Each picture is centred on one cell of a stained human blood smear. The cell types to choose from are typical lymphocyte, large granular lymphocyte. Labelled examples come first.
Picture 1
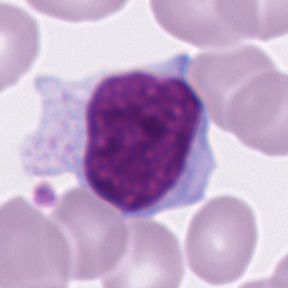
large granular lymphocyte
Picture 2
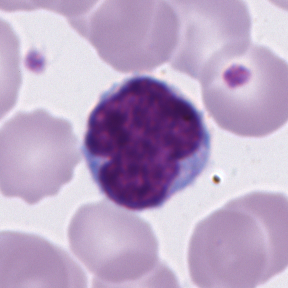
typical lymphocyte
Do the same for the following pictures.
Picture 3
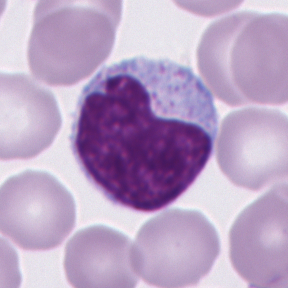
large granular lymphocyte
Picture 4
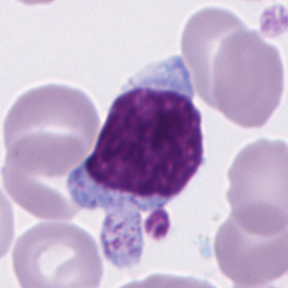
large granular lymphocyte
